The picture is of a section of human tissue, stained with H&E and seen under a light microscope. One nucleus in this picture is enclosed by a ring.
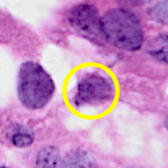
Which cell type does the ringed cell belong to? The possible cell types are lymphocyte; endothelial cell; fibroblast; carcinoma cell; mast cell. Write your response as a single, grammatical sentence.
By its classification, the ringed cell is a carcinoma cell.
